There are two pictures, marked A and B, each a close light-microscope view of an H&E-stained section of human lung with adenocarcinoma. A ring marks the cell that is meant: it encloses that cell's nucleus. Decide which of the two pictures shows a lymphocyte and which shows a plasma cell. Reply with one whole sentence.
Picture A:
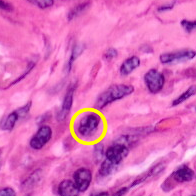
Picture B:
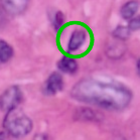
Picture B shows a lymphocyte, while picture A shows a plasma cell.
